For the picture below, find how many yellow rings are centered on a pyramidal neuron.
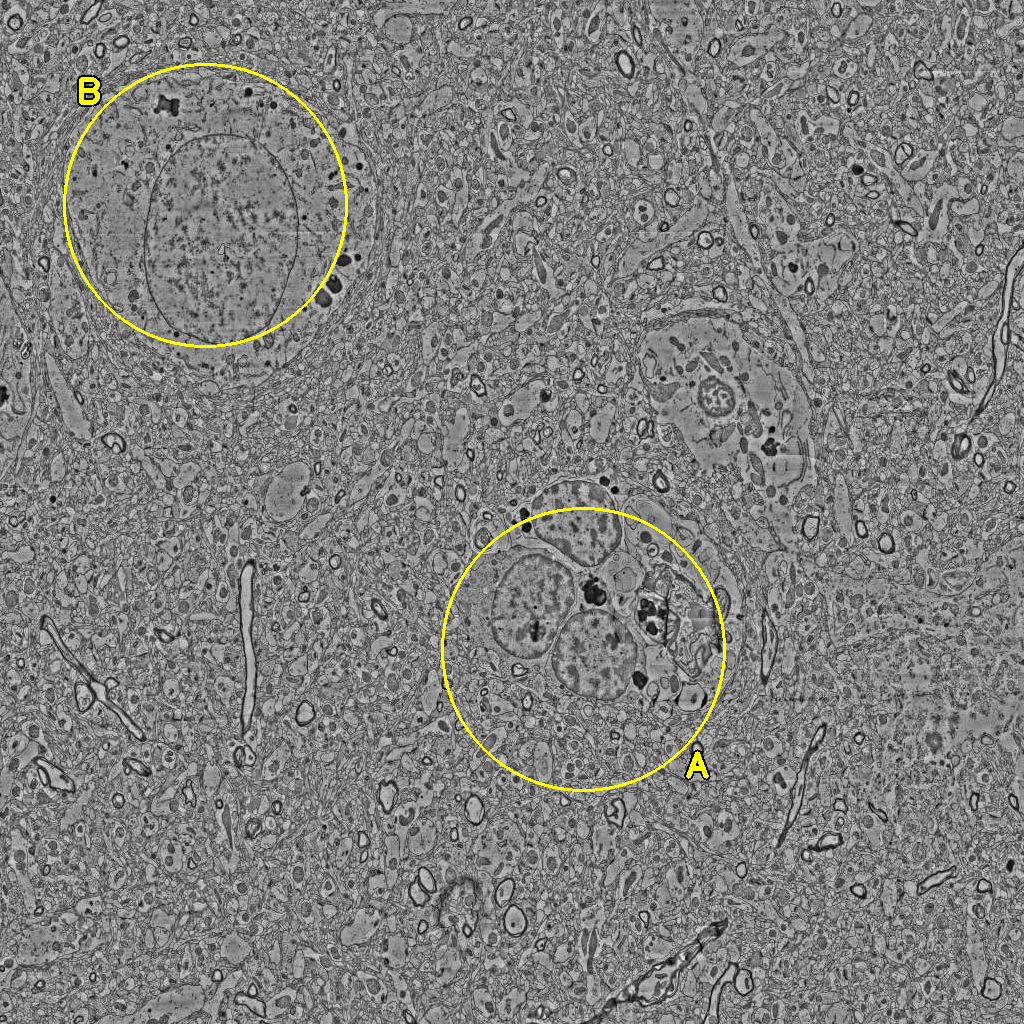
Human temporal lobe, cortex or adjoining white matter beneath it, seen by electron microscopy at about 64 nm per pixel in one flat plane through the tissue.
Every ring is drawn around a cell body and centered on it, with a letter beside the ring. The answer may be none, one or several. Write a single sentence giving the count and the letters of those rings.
Just one ring is centred on a pyramidal neuron, and the letter next to that ring is B.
